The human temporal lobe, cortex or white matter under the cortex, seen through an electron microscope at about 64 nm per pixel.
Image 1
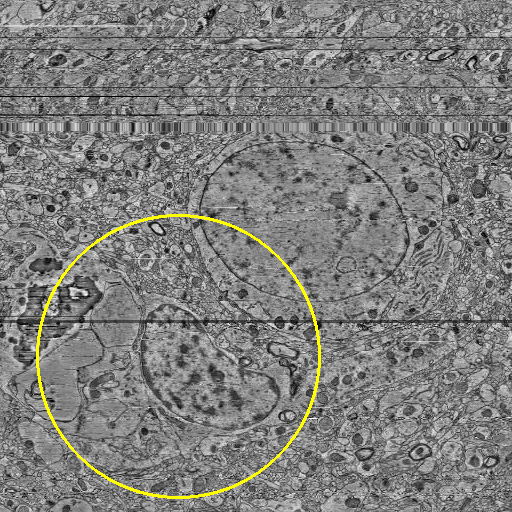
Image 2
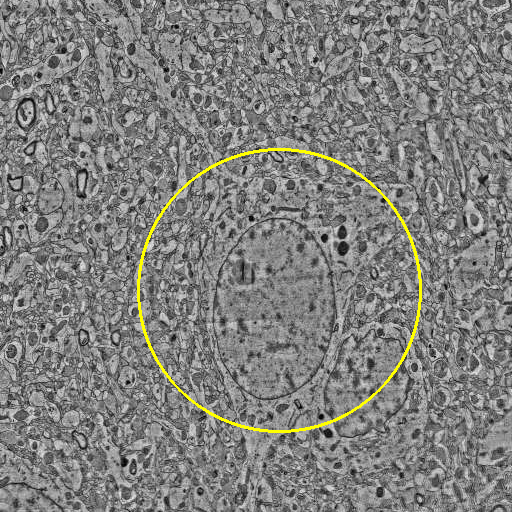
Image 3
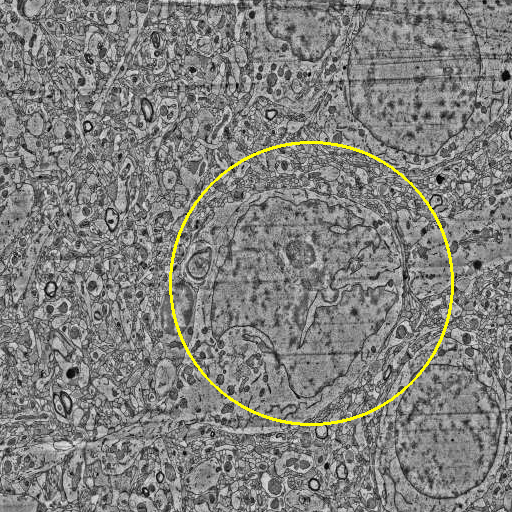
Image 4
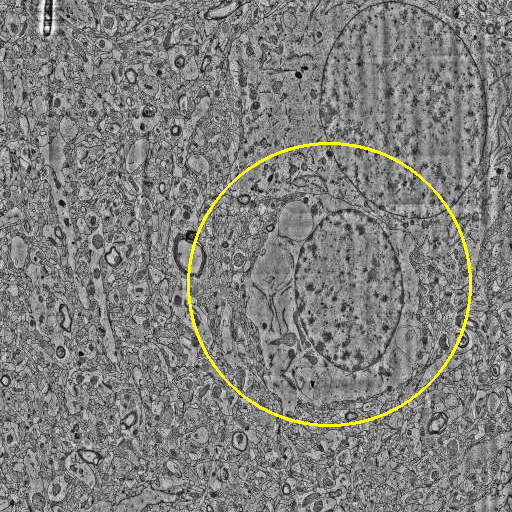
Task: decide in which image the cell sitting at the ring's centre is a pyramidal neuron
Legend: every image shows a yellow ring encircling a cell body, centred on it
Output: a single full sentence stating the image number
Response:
In image 2, the cell at the middle of the ring is the match.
